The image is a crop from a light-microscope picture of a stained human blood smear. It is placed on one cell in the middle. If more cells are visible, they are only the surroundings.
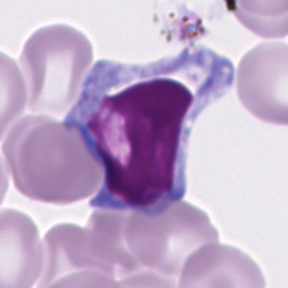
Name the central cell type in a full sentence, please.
In the crop, the cell of interest at the centre is a lymphocyte.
